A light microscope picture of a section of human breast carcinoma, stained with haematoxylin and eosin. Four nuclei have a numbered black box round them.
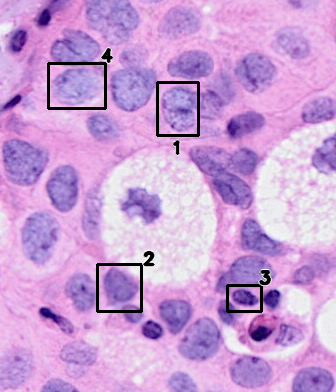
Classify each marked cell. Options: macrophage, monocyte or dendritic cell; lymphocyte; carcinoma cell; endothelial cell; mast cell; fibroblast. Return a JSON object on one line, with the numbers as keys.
{"1": "carcinoma cell", "2": "carcinoma cell", "3": "lymphocyte", "4": "carcinoma cell"}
